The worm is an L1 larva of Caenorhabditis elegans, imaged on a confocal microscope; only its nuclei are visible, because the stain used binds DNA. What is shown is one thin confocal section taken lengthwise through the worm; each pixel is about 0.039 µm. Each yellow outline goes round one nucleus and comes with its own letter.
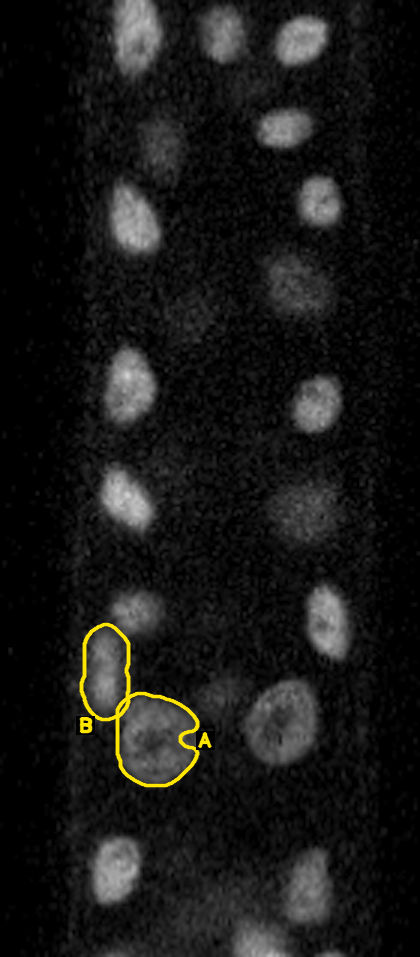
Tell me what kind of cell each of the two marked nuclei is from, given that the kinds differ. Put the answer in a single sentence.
A is the nucleus of an intestinal cell; B is the nucleus of a body wall muscle cell.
